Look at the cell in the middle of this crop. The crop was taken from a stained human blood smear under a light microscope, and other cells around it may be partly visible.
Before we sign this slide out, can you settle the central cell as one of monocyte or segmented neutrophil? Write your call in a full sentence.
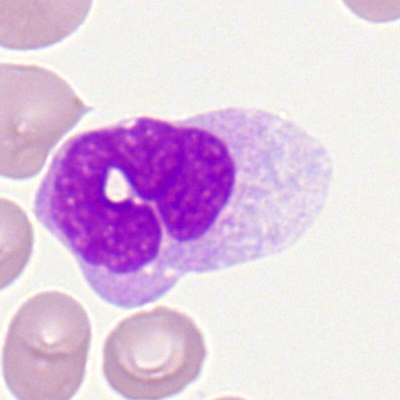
Centred in the crop is a monocyte.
